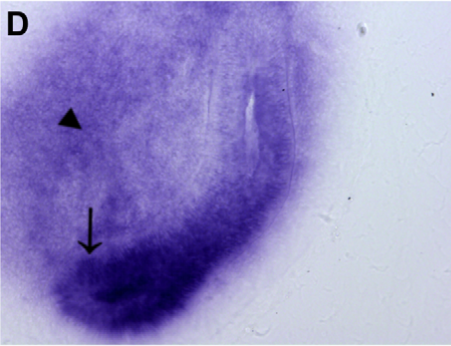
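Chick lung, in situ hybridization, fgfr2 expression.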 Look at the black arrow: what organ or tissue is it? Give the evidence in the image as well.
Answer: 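The arrow points to an intensely purple band at the rounded tip of a tube. The stained band lines the far end of the tube, with paler tissue around it. So: distal epithelium of main bronchus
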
